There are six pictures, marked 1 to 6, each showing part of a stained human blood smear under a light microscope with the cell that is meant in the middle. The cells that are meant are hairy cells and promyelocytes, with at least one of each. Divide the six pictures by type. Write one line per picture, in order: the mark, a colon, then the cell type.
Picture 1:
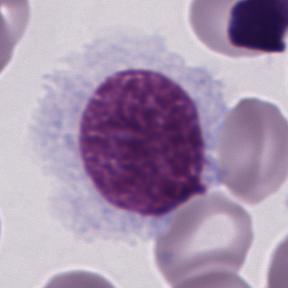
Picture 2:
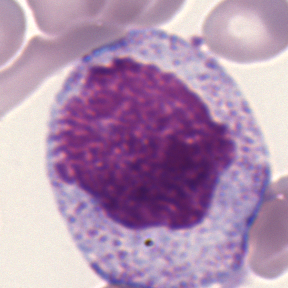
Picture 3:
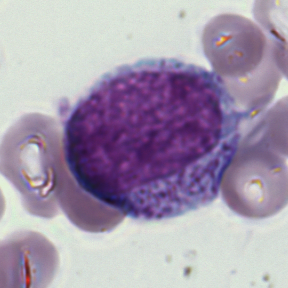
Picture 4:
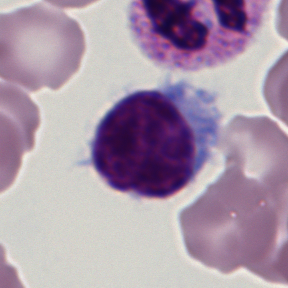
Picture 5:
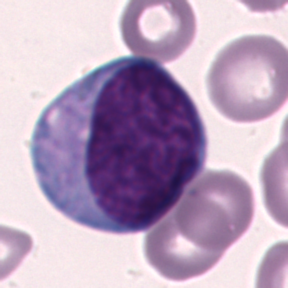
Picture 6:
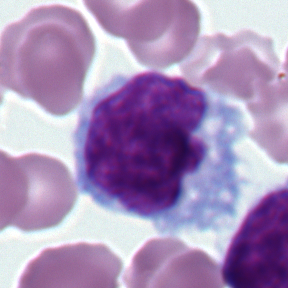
1: hairy cell
2: promyelocyte
3: promyelocyte
4: hairy cell
5: promyelocyte
6: hairy cell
